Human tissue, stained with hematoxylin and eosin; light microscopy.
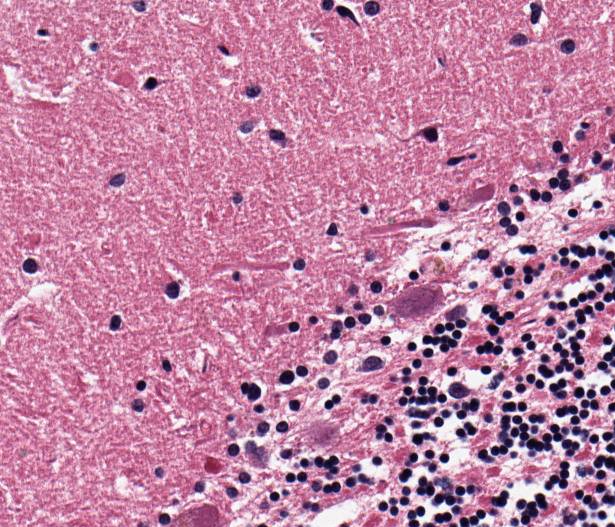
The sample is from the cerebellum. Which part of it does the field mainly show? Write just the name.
molecular layer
